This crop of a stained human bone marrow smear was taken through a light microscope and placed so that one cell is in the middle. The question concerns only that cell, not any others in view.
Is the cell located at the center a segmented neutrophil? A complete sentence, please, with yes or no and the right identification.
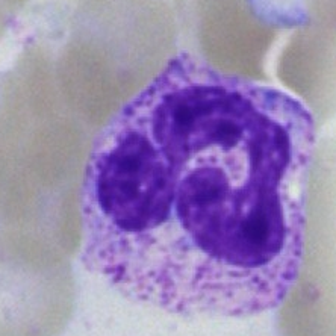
Yes, the cell shown at the crop's centre is a segmented neutrophil.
